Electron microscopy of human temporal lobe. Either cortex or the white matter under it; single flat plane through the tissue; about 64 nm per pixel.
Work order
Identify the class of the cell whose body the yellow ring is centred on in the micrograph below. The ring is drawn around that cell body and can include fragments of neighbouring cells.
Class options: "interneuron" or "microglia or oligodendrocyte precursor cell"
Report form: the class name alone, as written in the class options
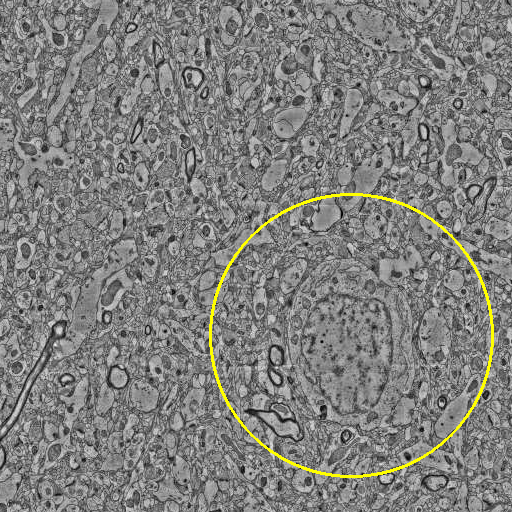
interneuron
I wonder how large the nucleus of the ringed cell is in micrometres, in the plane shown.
Approximately 8 x 6 micrometres in this plane.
